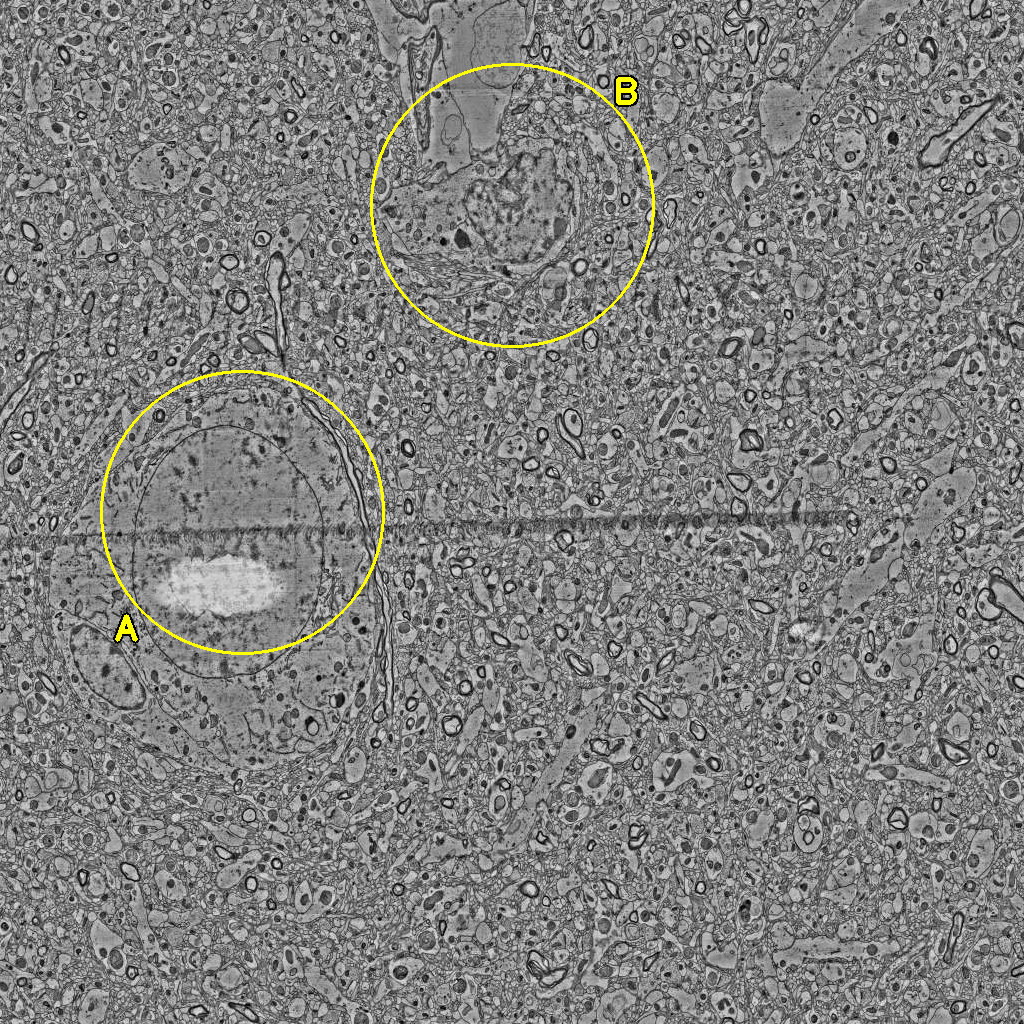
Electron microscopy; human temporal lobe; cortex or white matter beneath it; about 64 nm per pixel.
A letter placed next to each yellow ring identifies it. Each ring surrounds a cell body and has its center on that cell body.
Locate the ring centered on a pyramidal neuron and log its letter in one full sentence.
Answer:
Ring A has at its center the cell that the task asks for.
